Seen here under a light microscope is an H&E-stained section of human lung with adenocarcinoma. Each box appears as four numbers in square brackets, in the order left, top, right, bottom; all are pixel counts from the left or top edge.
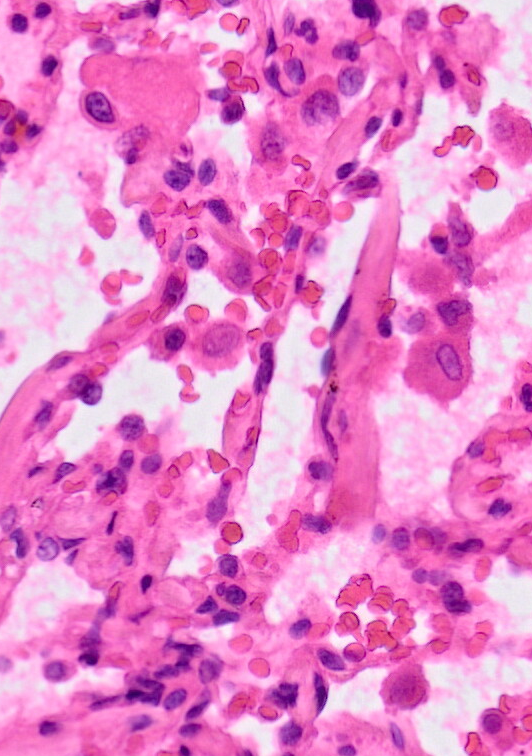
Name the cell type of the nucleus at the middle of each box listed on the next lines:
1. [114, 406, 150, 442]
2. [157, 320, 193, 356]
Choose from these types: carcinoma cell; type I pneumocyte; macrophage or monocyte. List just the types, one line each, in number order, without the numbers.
type I pneumocyte
macrophage or monocyte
